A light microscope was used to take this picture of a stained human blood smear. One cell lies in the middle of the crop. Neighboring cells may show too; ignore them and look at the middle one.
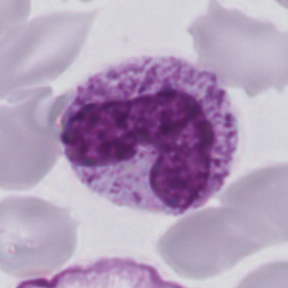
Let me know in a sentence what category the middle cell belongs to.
This crop's central cell is a band neutrophil.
